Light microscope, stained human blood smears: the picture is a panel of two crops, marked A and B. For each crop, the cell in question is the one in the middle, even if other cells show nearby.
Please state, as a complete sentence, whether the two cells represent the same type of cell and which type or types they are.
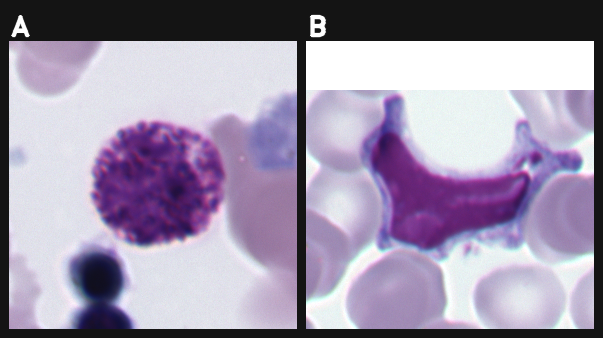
No, crop A shows a basophil, and it is crop B that shows a lymphocyte.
